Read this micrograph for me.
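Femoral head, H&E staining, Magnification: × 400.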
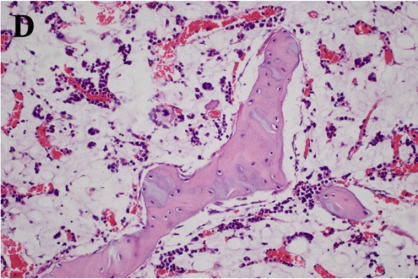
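The marrow is largely replaced by clear, round, empty-looking vacuoles of varying size, between which lie scattered clusters of small cells with dark purple nuclei and dilated vessels packed with red blood cells. The marrow appears disorganised, with cells scattered irregularly among the vacuoles.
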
